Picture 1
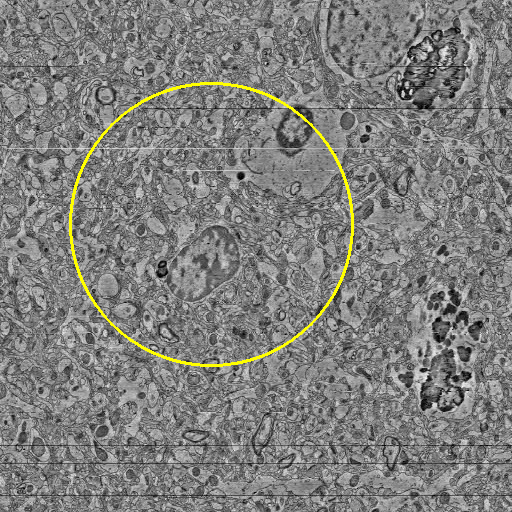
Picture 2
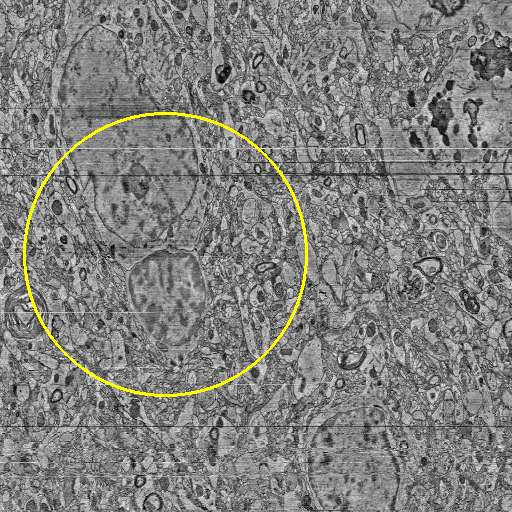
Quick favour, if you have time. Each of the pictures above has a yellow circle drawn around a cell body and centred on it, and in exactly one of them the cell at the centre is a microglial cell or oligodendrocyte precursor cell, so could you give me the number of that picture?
1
